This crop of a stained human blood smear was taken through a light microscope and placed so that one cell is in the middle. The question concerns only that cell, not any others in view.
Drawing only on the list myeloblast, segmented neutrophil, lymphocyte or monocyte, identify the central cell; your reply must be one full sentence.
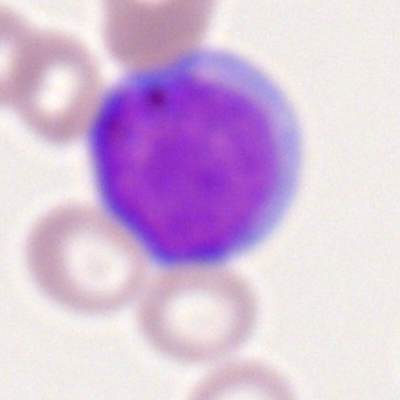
Here the centrally located cell is a myeloblast.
